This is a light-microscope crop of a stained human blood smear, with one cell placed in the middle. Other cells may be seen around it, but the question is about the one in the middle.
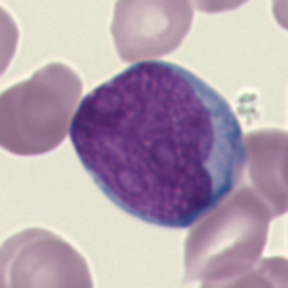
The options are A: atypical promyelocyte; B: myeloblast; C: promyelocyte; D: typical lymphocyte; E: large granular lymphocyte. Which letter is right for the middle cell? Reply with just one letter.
B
